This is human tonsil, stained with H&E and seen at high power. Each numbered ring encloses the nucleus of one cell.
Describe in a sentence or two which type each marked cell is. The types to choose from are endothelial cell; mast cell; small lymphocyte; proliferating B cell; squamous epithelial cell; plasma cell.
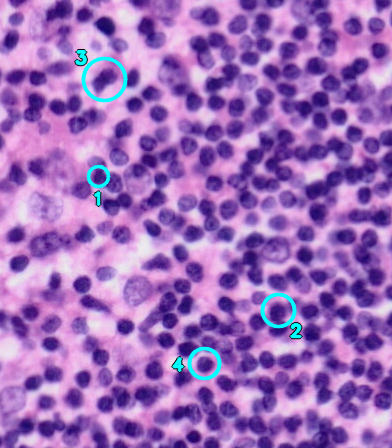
Cells 1, 2 and 4 are small lymphocytes. Cell 3 is a proliferating B cell.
